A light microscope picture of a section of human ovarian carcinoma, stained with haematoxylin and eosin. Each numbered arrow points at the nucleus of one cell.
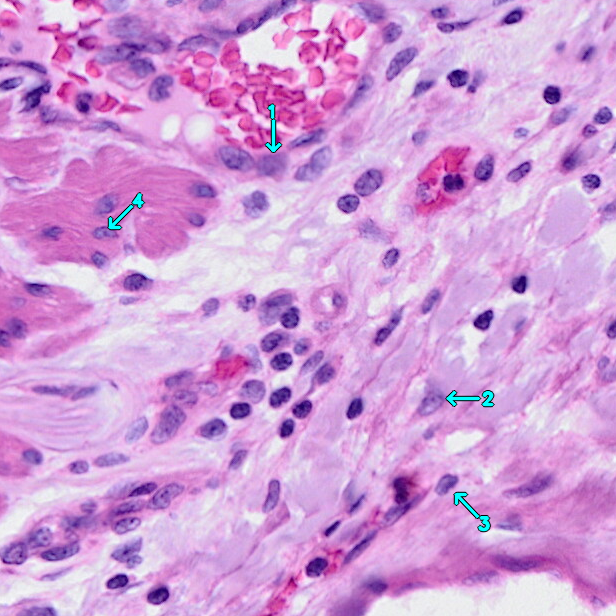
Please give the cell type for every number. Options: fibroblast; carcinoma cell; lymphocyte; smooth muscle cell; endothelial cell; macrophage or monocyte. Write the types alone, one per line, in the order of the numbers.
endothelial cell
fibroblast
lymphocyte
smooth muscle cell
